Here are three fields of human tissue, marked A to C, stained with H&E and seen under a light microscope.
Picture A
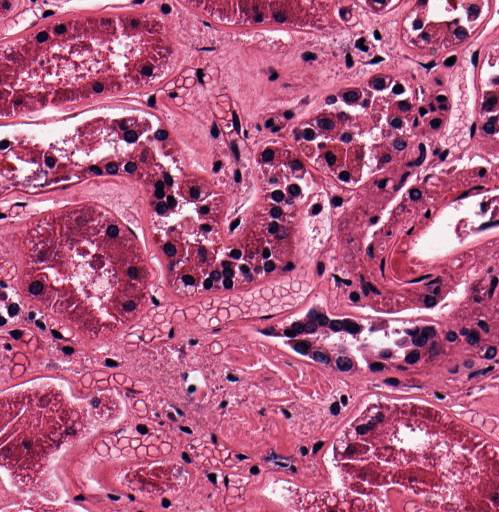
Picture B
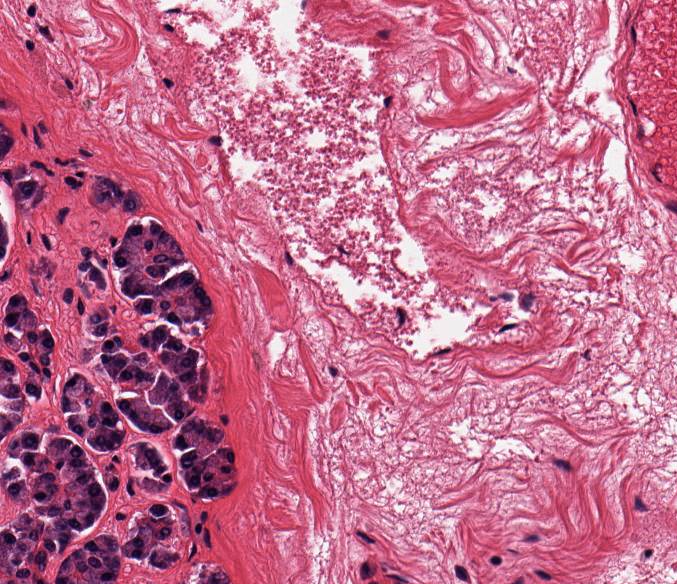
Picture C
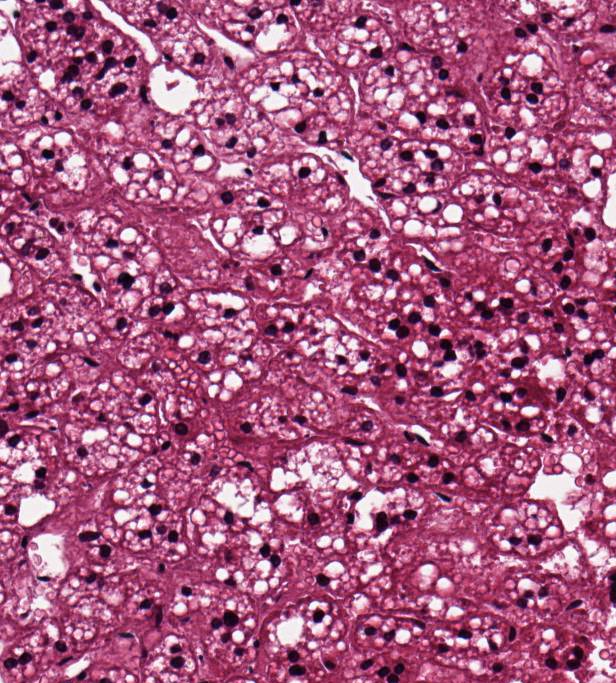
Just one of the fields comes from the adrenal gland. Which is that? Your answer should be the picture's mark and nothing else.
C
